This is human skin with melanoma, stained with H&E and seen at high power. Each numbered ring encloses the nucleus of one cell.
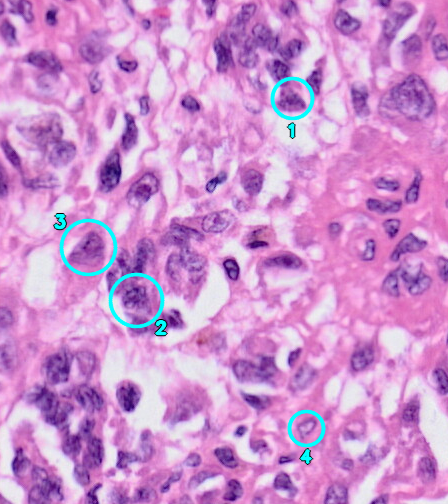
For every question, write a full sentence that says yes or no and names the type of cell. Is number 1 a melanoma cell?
Yes, the cell shown as number 1 is a melanoma cell.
